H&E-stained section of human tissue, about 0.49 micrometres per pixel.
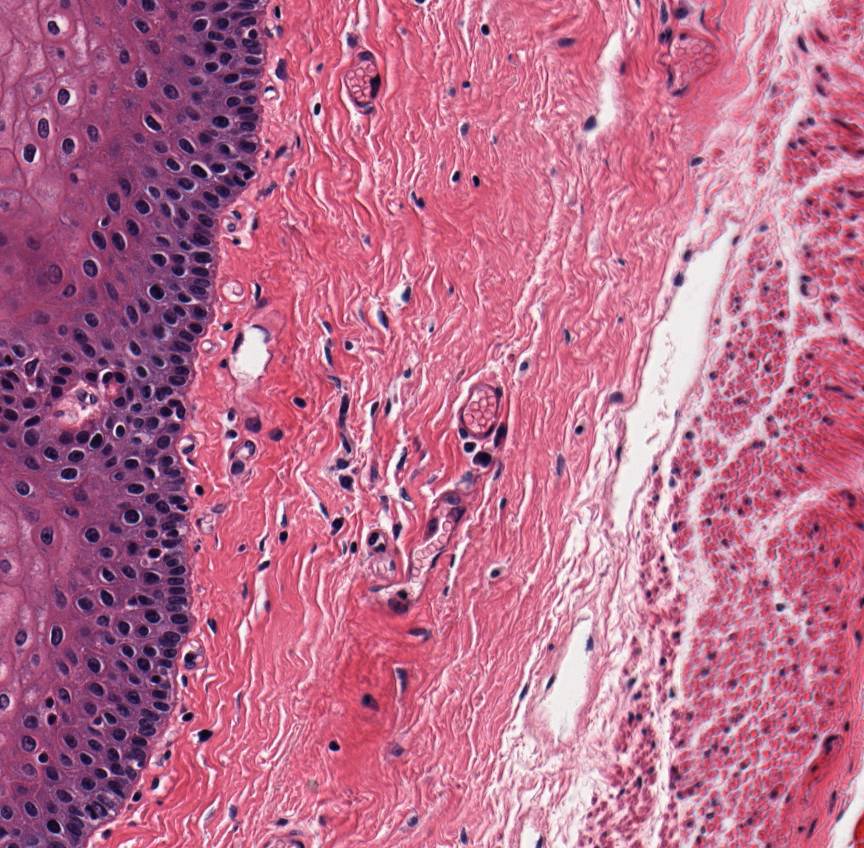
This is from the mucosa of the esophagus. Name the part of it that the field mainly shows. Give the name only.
loose connective tissue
